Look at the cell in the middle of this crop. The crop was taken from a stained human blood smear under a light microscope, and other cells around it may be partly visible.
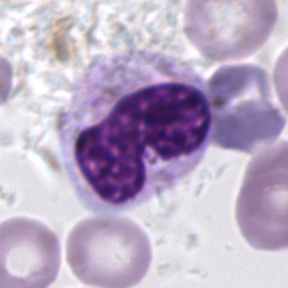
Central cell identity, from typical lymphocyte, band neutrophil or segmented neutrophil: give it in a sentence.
By classification, the middle cell of this crop is a band neutrophil.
